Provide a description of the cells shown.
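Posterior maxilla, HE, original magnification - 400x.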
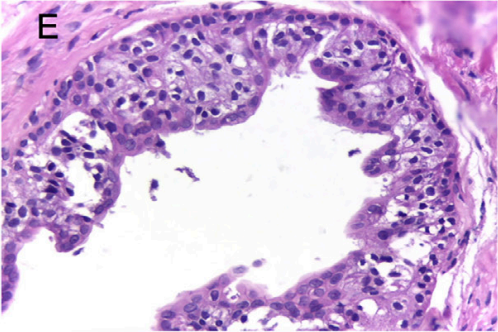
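This is the epithelial lining of a cyst, seen at high power, surrounding an empty lumen. The lining is several cells thick, with no keratin on its surface, and the cells toward the lumen are columnar to cuboidal. Scattered among them are cells with pale, clear, bubbly cytoplasm, the goblet cells. Beneath the epithelium lies a thin band of pink fibrous connective tissue.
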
